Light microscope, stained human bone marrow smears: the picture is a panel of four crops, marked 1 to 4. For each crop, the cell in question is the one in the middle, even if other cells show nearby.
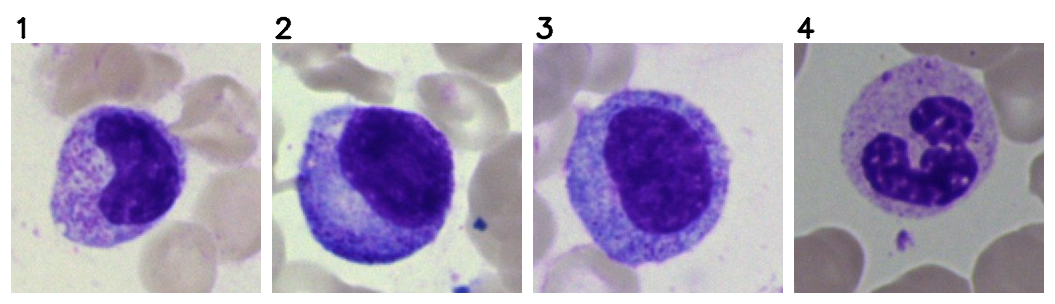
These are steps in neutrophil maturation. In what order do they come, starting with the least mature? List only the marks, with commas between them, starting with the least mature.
2, 3, 1, 4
